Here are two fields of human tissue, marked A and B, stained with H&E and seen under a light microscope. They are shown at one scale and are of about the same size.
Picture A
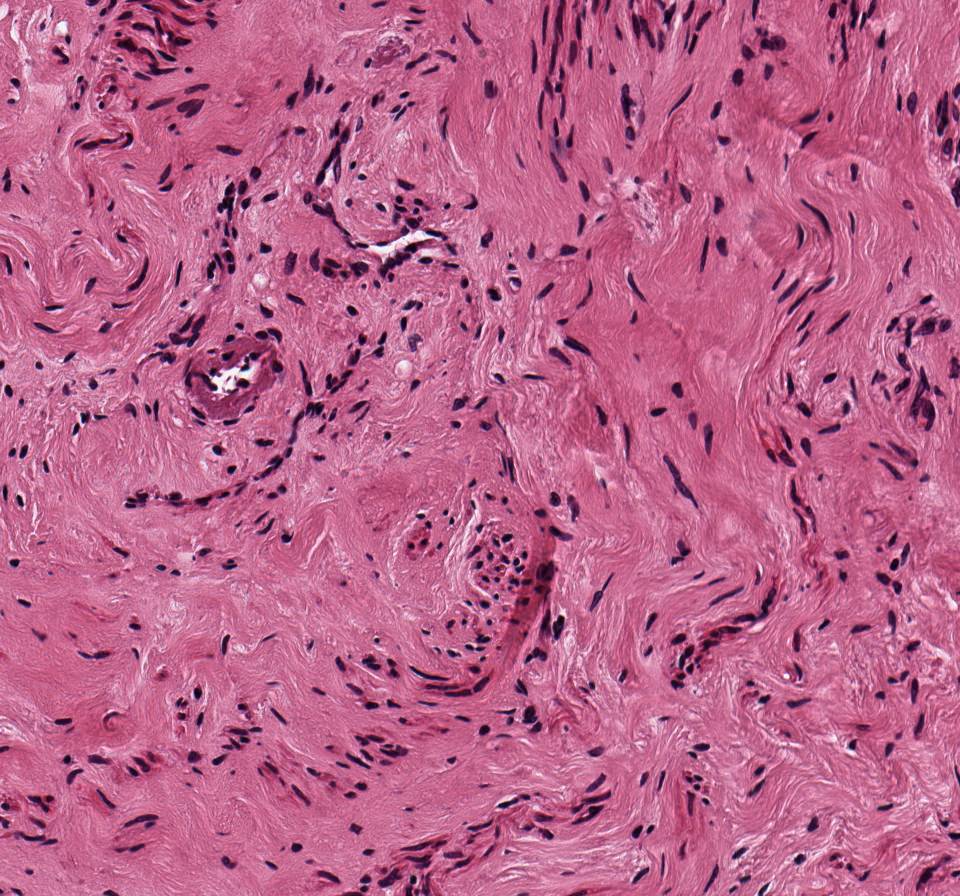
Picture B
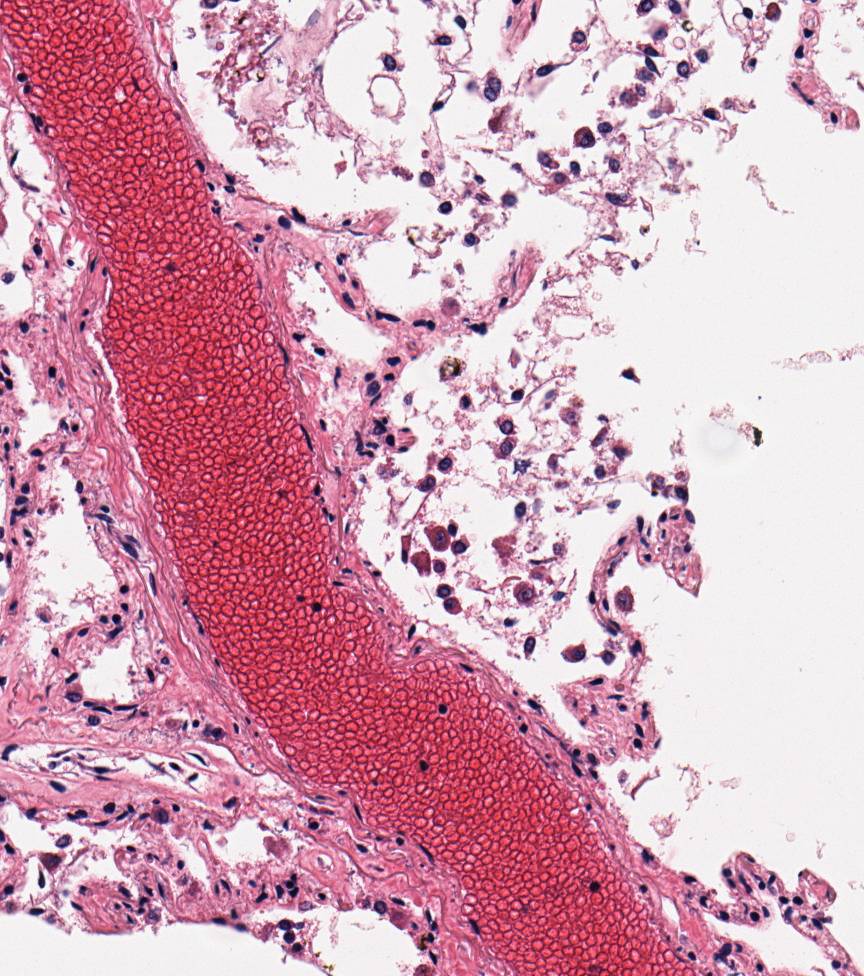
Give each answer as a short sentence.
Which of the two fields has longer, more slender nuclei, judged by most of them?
It is picture A whose nuclei are the more elongated.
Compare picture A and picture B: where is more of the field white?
More of picture B is empty and white.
